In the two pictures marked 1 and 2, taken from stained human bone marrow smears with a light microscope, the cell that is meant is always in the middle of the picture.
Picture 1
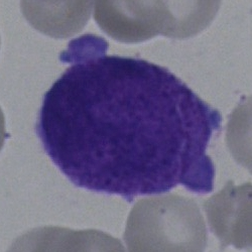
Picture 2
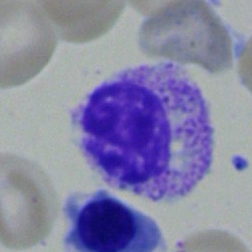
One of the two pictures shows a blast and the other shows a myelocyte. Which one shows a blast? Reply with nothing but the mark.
1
